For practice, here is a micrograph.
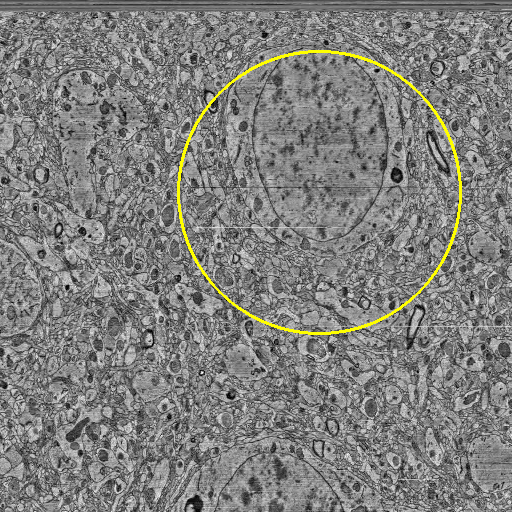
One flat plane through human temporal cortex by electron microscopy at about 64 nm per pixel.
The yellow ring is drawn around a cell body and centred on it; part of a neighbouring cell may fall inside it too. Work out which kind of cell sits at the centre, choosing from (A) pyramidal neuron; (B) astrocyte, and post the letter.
A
